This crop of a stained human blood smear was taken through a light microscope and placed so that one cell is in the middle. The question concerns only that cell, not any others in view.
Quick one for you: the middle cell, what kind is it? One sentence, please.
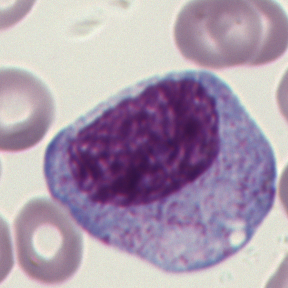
The cell positioned in the middle of the field is a promyelocyte.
